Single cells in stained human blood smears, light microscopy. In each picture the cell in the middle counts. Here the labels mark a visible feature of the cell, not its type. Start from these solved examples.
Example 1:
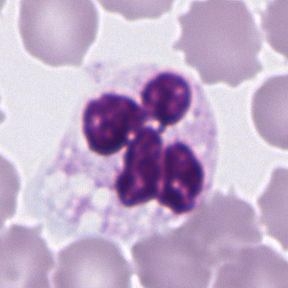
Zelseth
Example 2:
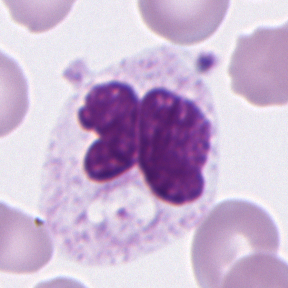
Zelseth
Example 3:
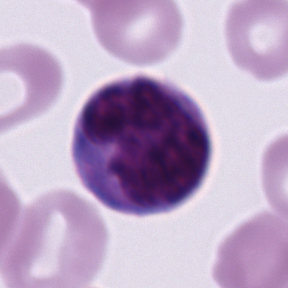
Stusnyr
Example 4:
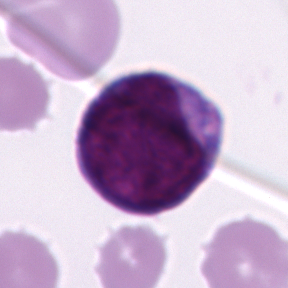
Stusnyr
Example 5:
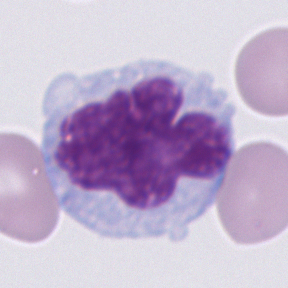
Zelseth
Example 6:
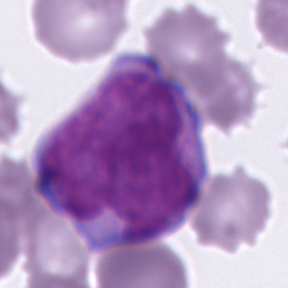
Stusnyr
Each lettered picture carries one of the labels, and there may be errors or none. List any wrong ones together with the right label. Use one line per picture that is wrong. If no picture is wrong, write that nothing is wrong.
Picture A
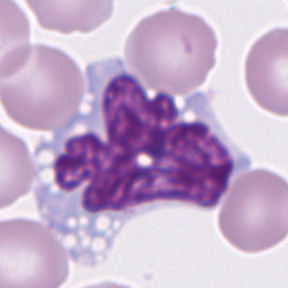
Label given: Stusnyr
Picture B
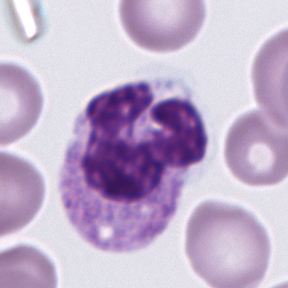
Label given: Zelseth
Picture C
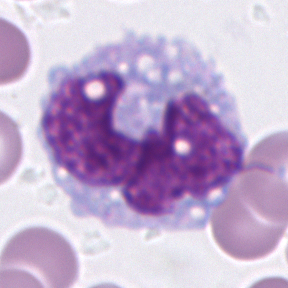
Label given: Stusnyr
Wrong: A (Stusnyr); correct: Zelseth
Wrong: C (Stusnyr); correct: Zelseth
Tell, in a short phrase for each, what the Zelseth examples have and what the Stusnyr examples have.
Seen in Zelseth: vacuoles present; seen in Stusnyr: no vacuoles.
